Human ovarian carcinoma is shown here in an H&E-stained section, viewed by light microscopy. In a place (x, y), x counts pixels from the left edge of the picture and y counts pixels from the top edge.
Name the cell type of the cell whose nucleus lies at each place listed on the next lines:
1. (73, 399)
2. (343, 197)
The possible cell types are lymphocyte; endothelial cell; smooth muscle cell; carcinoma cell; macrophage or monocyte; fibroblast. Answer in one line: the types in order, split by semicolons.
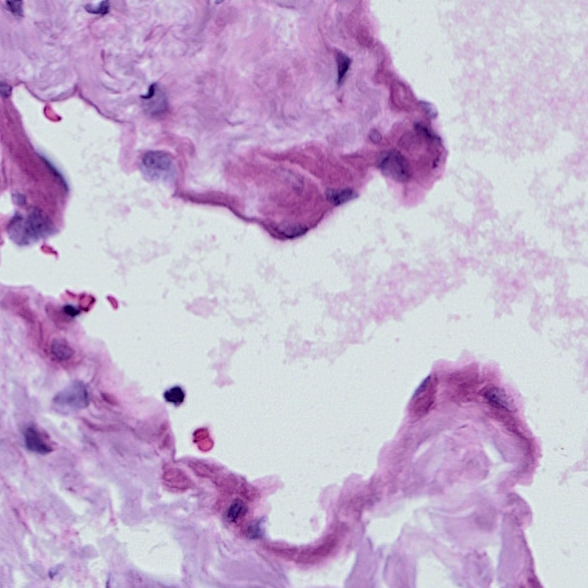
fibroblast; endothelial cell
